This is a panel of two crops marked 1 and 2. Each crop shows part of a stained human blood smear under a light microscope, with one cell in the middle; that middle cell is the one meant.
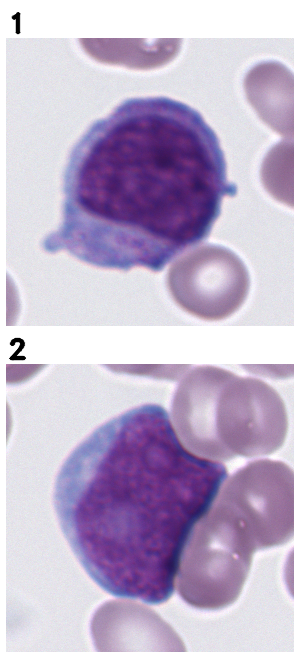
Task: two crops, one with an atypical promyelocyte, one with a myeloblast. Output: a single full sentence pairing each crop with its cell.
In crop 2 the central cell is a myeloblast, and in crop 1 it is an atypical promyelocyte.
